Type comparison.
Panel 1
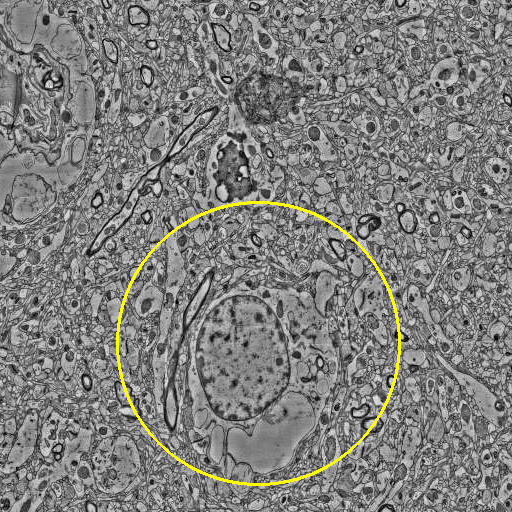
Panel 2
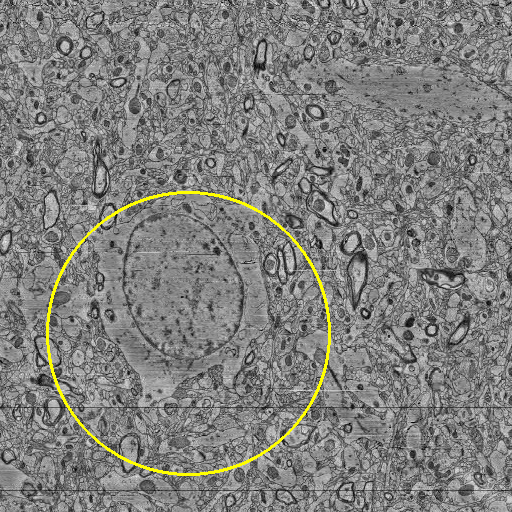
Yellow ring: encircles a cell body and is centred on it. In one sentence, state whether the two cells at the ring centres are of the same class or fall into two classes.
In these panels, the two cells at the ring centres are of the same class.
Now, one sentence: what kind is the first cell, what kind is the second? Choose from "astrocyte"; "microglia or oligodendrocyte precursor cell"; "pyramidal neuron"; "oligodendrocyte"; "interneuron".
The first and the second cell are each an astrocyte.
